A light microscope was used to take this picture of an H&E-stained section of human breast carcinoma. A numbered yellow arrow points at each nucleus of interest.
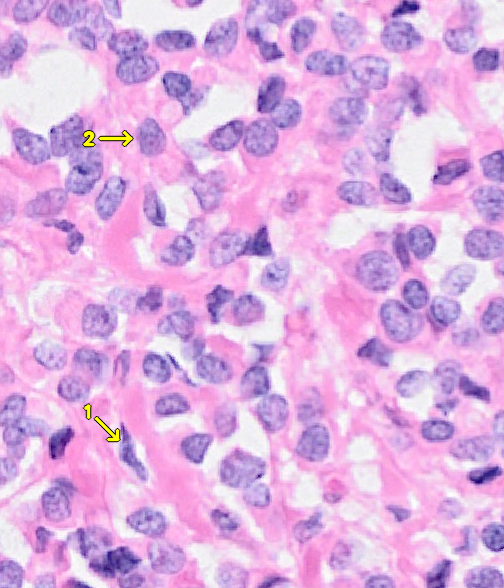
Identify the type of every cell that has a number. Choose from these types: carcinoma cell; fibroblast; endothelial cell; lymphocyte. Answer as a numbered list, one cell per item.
1. fibroblast
2. carcinoma cell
